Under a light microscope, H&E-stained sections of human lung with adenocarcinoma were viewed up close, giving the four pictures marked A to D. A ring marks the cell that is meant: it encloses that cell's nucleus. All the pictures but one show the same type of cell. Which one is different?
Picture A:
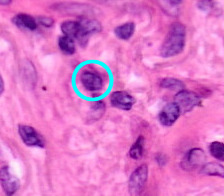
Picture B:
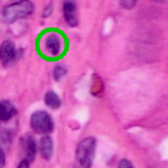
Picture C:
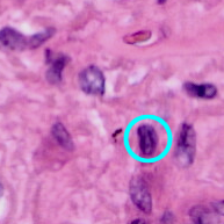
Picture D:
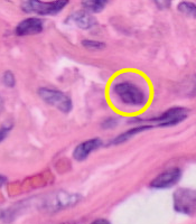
B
